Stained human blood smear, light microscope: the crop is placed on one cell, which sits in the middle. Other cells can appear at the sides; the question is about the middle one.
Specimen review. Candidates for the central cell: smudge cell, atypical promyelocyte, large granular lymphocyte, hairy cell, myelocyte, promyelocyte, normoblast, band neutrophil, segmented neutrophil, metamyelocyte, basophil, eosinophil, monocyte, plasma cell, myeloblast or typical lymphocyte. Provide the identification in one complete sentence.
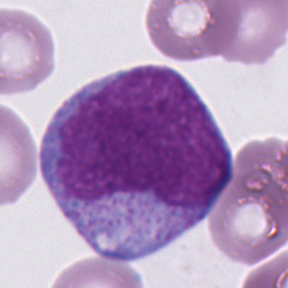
The middle of this crop holds a promyelocyte.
